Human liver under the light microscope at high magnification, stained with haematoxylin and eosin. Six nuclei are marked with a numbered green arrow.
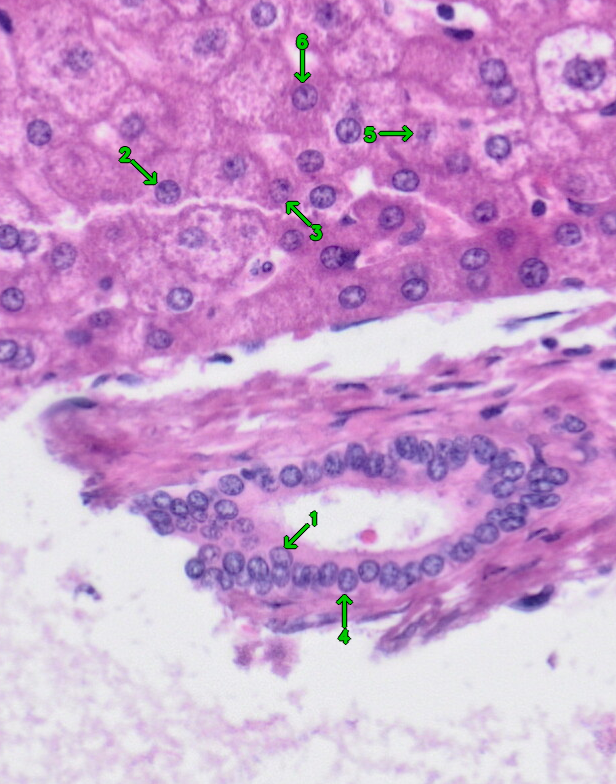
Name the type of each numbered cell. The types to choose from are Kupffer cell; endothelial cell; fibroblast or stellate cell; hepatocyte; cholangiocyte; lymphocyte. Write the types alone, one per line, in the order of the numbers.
cholangiocyte
hepatocyte
hepatocyte
cholangiocyte
hepatocyte
hepatocyte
